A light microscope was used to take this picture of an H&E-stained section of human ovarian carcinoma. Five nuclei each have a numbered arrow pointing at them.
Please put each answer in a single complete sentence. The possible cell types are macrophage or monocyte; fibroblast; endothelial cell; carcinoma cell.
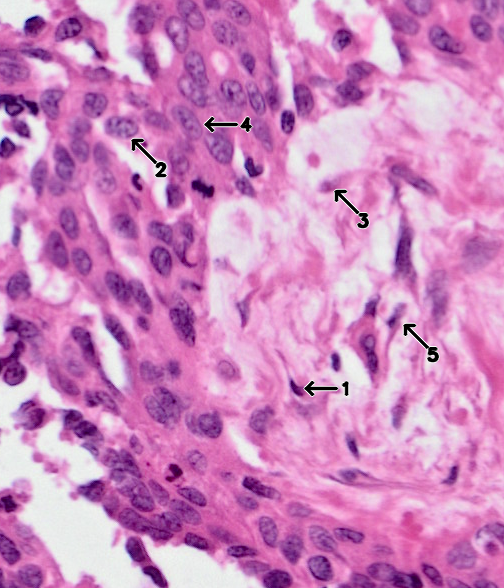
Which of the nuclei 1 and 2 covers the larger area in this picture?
Nucleus 2 covers more area, about 4 times as much as nucleus 1.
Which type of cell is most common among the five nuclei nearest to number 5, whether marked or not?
Of the five nuclei nearest to number 5, most belong to fibroblasts.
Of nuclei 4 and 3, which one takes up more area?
Nucleus 4 is the larger one, covering about 3 times the area of nucleus 3.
